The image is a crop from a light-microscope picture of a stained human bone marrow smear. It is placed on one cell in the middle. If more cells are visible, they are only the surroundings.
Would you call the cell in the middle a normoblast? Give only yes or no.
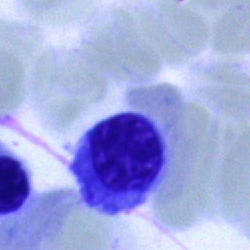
yes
